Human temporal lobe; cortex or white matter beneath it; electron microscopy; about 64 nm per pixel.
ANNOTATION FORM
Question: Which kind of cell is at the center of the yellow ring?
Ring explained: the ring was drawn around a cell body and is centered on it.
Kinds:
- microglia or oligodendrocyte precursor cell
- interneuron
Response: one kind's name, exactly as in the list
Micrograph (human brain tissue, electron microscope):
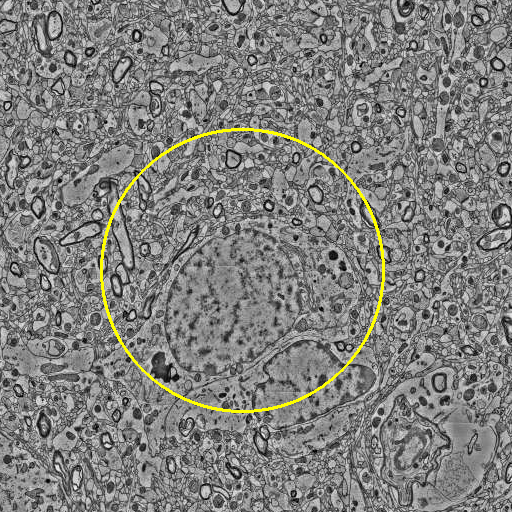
interneuron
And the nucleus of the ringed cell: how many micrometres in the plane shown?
The nucleus of the ringed cell is approximately 10 by 8 micrometres in this plane.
